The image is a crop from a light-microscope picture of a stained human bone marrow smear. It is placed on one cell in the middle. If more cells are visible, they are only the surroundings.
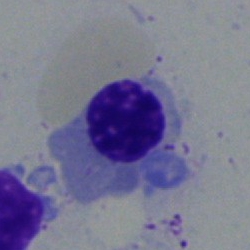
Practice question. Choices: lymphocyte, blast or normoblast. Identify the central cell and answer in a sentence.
The crop shows a normoblast in its centre.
